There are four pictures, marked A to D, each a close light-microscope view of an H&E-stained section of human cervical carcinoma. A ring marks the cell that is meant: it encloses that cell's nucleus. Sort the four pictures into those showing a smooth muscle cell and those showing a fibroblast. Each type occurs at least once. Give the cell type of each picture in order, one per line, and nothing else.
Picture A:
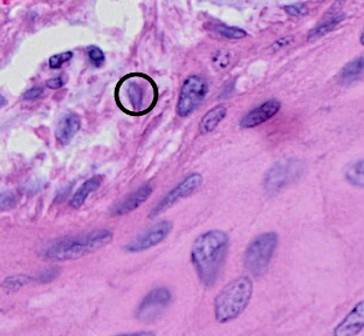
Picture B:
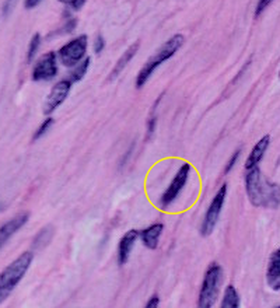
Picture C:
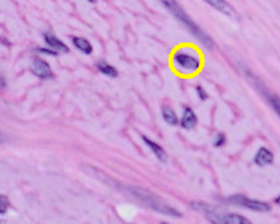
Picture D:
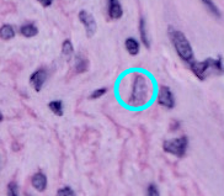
fibroblast
fibroblast
smooth muscle cell
smooth muscle cell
